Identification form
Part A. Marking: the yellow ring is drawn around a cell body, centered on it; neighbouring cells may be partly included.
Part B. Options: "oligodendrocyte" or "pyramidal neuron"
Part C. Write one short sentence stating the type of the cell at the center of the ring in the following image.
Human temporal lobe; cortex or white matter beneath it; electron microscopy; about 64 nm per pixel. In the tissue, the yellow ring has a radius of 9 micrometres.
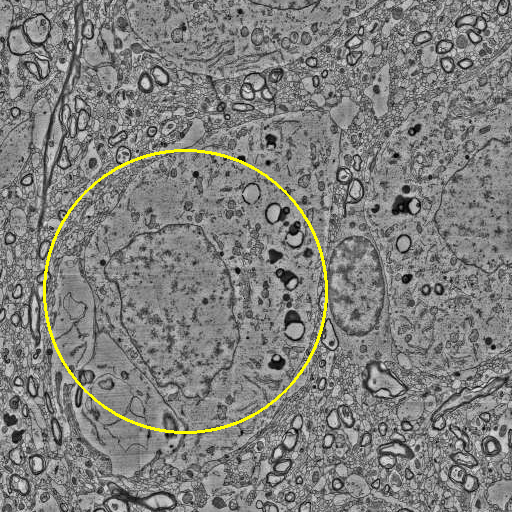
The center of the ring holds a pyramidal neuron.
